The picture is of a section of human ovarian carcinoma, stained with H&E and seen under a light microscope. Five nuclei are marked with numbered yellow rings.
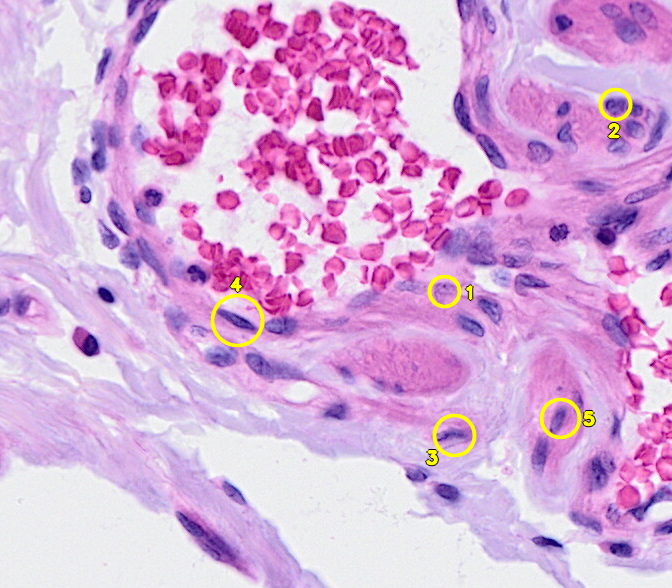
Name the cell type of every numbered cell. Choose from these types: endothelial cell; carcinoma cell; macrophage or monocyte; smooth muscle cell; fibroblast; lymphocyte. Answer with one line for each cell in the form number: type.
1: endothelial cell
2: smooth muscle cell
3: endothelial cell
4: endothelial cell
5: smooth muscle cell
